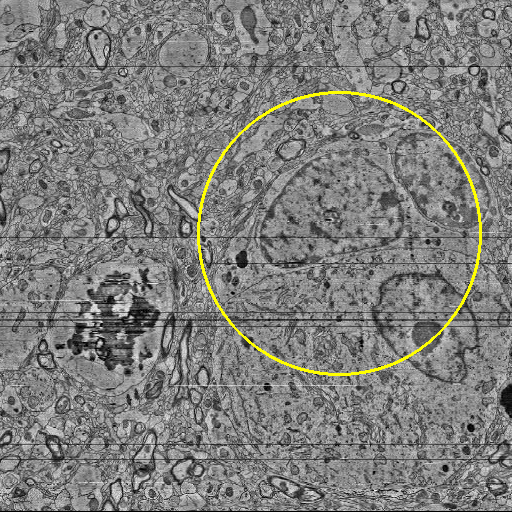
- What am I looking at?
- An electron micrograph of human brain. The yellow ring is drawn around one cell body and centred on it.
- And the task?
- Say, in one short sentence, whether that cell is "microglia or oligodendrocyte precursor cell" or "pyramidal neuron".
The cell in the middle of the ring is a microglial cell or oligodendrocyte precursor cell.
